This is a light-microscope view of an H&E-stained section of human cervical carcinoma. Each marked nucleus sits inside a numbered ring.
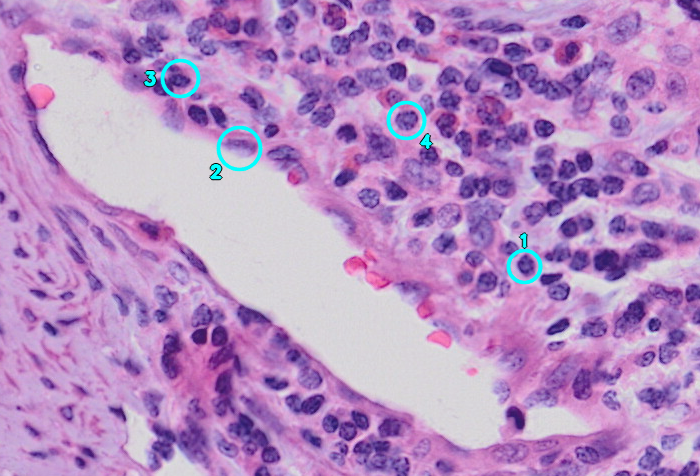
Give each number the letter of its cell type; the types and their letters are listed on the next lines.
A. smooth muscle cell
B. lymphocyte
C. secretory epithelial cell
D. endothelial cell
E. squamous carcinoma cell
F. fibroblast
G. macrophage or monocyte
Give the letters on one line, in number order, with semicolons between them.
B; D; B; B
